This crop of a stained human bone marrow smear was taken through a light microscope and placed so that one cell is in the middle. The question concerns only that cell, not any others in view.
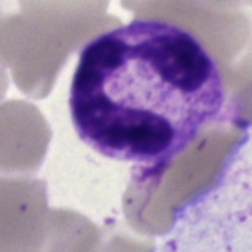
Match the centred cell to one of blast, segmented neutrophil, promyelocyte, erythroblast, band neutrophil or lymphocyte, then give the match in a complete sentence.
What the crop centres on is a segmented neutrophil.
